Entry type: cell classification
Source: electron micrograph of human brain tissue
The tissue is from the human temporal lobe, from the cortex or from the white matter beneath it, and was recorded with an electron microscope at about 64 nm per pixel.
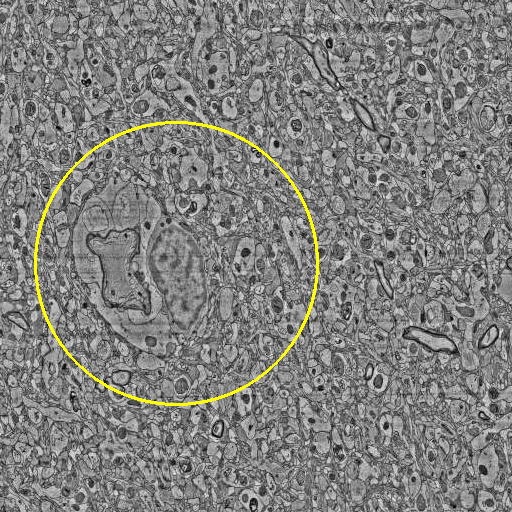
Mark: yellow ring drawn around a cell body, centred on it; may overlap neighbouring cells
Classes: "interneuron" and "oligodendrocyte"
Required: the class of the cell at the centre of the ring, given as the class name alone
oligodendrocyte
